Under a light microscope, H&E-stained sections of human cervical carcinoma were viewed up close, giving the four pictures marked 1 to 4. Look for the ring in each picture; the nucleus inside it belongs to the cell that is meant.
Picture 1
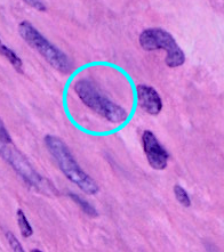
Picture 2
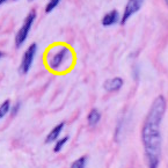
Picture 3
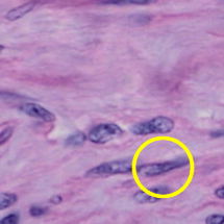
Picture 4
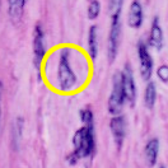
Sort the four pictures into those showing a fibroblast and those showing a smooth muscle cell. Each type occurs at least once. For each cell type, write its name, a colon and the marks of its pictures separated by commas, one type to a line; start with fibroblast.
fibroblast: 1, 4
smooth muscle cell: 2, 3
